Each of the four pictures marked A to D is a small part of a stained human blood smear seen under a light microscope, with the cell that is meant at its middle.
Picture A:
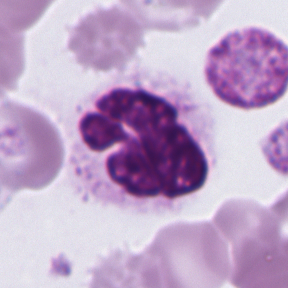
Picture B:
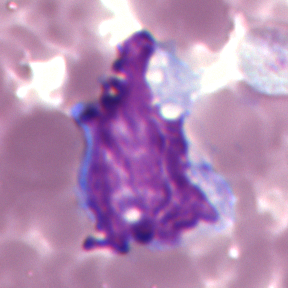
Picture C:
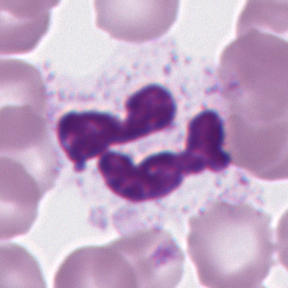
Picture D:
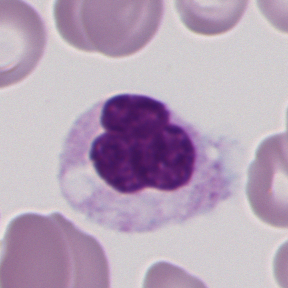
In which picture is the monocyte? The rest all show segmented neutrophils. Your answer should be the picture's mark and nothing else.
B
